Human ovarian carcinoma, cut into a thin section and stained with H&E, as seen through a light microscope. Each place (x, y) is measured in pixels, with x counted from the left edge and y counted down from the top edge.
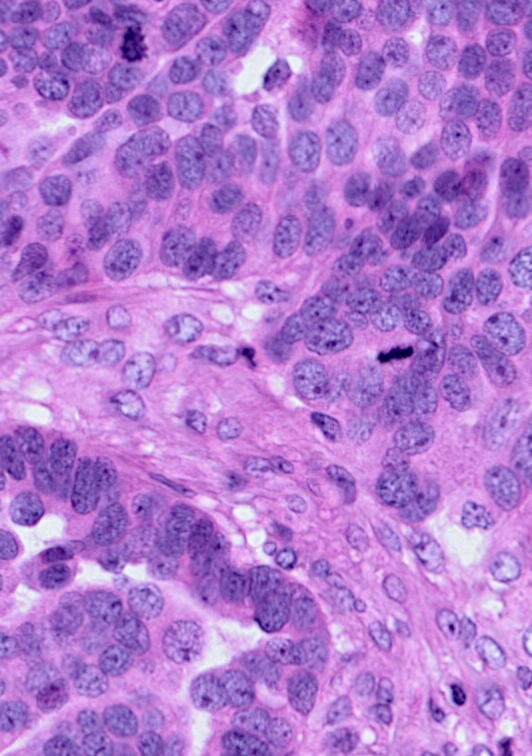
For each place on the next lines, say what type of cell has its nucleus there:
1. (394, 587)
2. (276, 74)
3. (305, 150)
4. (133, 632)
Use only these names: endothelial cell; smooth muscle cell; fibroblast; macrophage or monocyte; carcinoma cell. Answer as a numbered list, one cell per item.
1. fibroblast
2. macrophage or monocyte
3. carcinoma cell
4. carcinoma cell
